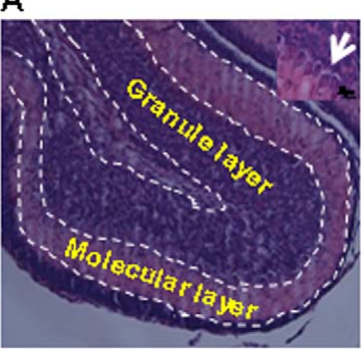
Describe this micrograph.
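This is a lobe of the cerebellum cut through one of its folds, stained pink and purple. The inner core of the fold is filled by a thick band of densely packed, small, dark purple nuclei. A paler pink band with far fewer nuclei runs outside it, just under the outer surface of the fold. White dashed lines trace the borders of these two bands along the curve of the fold. In the small inset at the upper right, seen at higher magnification, a white arrow points to a larger cell body.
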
